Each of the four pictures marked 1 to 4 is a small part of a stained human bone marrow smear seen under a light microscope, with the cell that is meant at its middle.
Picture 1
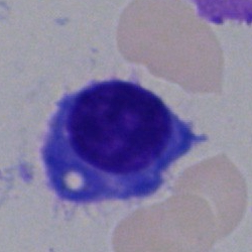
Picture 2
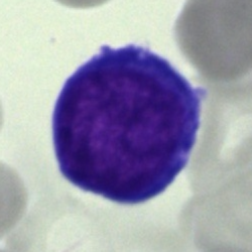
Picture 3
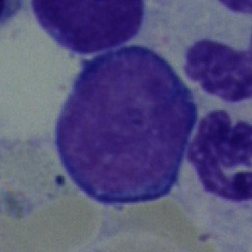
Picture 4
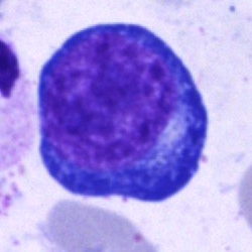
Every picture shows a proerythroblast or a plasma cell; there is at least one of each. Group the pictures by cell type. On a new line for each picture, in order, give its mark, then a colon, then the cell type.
1: plasma cell
2: proerythroblast
3: proerythroblast
4: proerythroblast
